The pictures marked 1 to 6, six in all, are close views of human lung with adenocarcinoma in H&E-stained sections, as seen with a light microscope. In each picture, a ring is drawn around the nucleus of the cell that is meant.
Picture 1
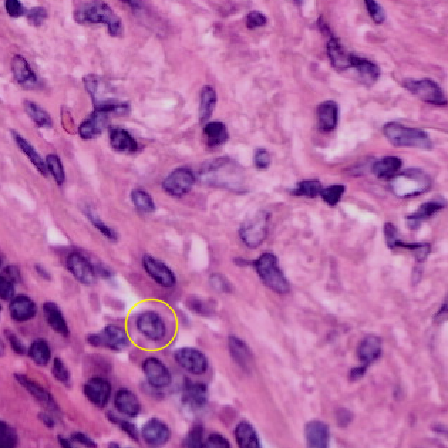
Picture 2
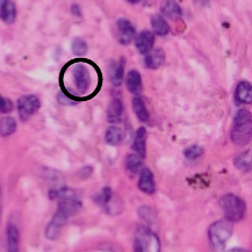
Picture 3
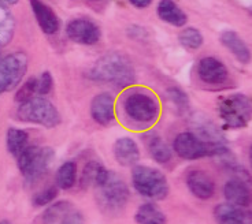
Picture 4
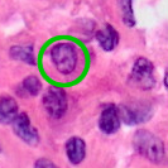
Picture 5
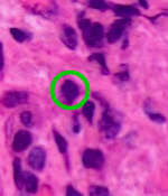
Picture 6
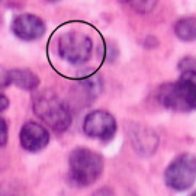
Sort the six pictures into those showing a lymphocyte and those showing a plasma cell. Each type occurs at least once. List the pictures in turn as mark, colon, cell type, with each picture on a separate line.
1: plasma cell
2: lymphocyte
3: plasma cell
4: plasma cell
5: plasma cell
6: lymphocyte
